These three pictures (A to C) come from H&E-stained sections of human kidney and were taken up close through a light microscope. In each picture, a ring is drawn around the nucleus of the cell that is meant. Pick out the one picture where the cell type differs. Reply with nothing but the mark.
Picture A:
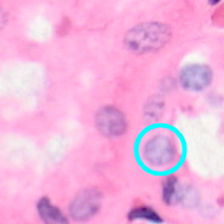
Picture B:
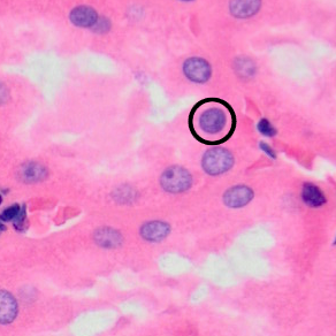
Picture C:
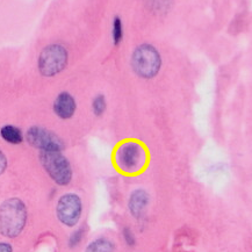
B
